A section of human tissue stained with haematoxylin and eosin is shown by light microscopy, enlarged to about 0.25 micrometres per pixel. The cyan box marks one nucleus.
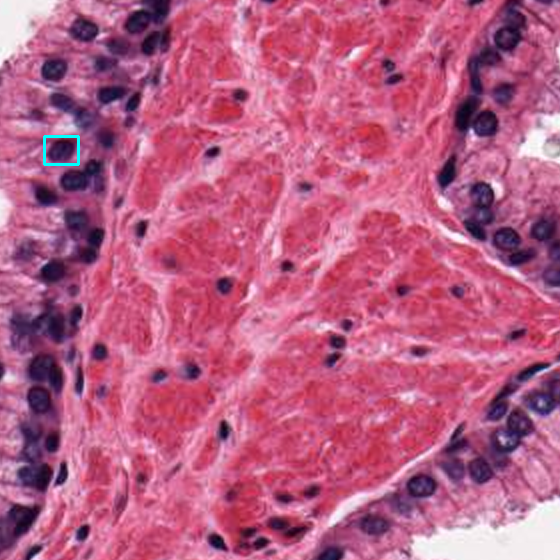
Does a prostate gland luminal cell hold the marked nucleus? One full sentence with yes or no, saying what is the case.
Yes, the marked nucleus is found within a prostate gland luminal cell.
